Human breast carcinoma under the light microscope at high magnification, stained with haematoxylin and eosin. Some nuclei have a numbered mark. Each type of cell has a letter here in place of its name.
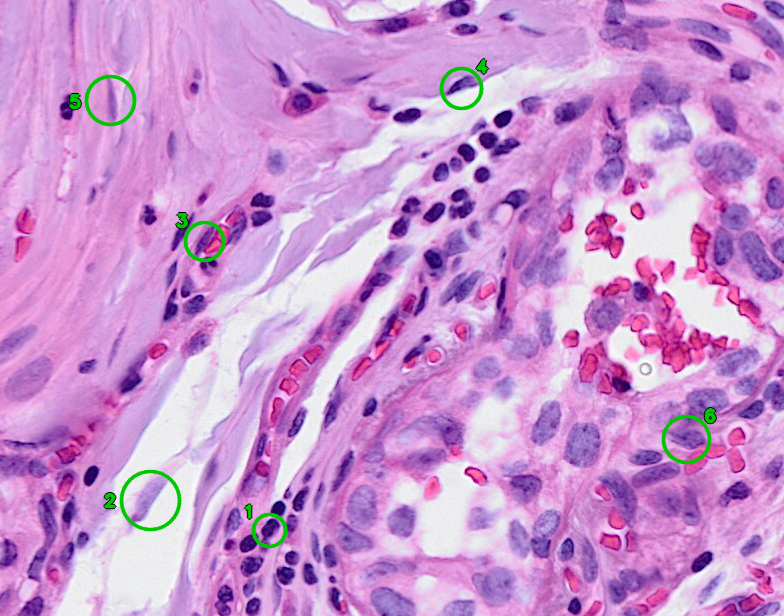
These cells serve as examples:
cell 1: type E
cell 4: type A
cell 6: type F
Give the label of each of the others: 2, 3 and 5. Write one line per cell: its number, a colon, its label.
2: type A
3: type F
5: type A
